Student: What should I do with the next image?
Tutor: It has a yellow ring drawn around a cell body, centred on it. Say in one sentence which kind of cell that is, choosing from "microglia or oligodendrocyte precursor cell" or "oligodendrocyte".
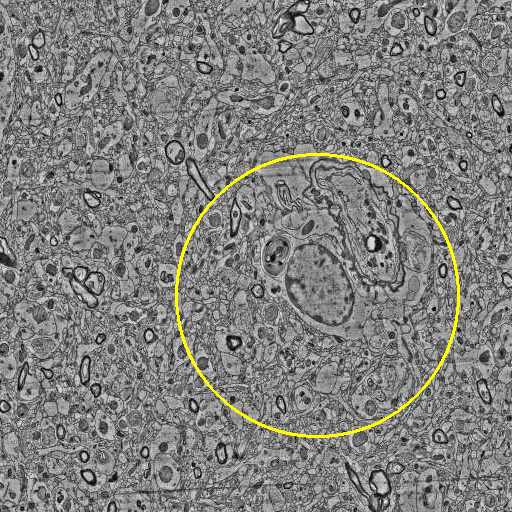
The ring's centre is occupied by a microglial cell or oligodendrocyte precursor cell.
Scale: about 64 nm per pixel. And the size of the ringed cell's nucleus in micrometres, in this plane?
In this plane the nucleus is about 6 micrometres by 4.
